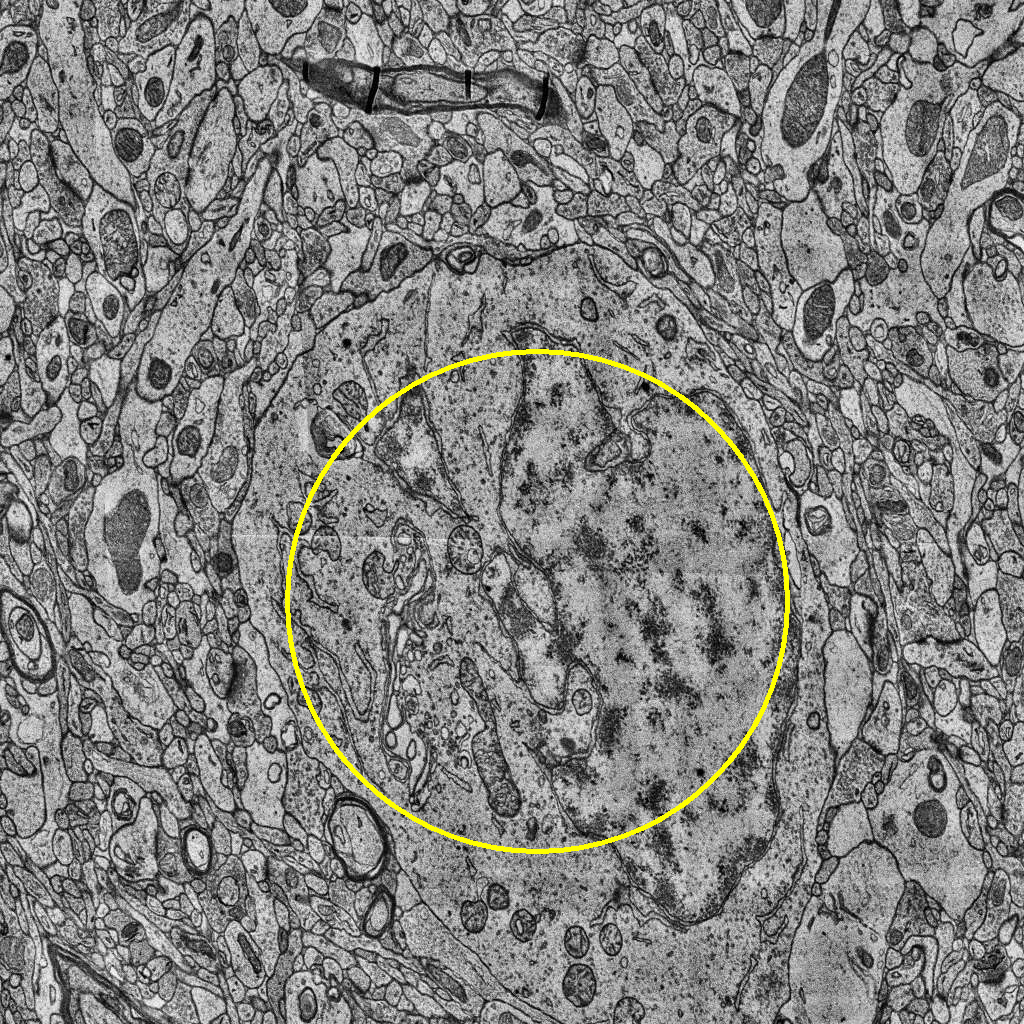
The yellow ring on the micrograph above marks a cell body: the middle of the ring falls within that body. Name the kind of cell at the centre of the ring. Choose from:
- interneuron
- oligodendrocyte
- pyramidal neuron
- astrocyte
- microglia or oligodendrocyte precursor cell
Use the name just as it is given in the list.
interneuron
